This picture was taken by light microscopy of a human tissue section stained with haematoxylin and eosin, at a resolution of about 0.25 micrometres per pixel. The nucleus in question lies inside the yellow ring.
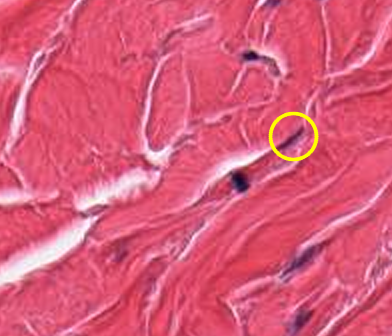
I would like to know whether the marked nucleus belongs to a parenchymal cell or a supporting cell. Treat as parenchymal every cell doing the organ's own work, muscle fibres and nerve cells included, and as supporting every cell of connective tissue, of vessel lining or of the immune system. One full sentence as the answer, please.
The marked nucleus is designated as the nucleus of a supporting cell.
